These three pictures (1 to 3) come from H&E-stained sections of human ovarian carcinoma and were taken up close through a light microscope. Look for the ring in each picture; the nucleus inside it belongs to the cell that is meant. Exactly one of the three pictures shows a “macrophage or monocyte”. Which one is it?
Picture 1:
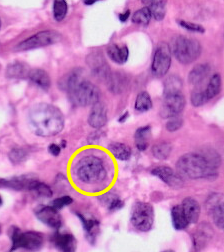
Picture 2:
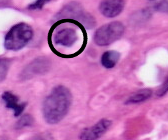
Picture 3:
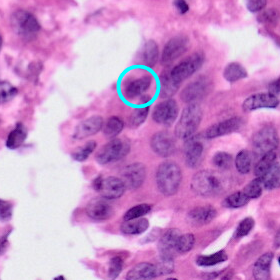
3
